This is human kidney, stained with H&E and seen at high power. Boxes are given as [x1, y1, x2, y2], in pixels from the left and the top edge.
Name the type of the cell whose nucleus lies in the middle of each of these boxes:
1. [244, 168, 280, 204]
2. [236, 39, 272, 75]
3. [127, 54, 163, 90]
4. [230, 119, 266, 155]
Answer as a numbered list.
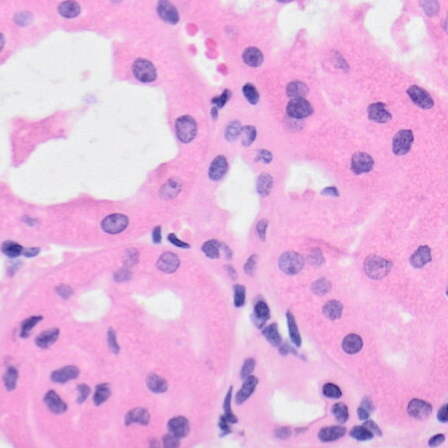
1. collecting duct cell
2. proximal tubule cell
3. proximal tubule cell
4. collecting duct cell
